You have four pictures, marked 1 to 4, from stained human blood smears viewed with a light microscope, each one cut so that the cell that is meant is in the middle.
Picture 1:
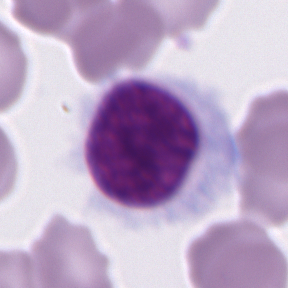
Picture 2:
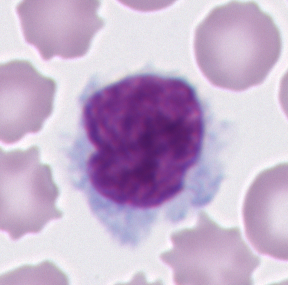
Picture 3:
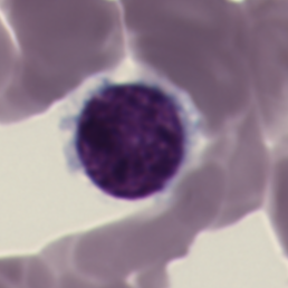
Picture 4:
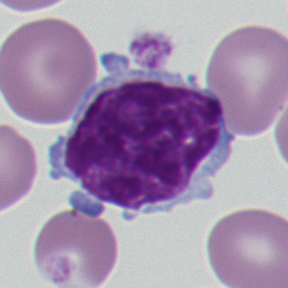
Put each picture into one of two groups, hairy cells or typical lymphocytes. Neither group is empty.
1: hairy cell
2: hairy cell
3: hairy cell
4: typical lymphocyte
